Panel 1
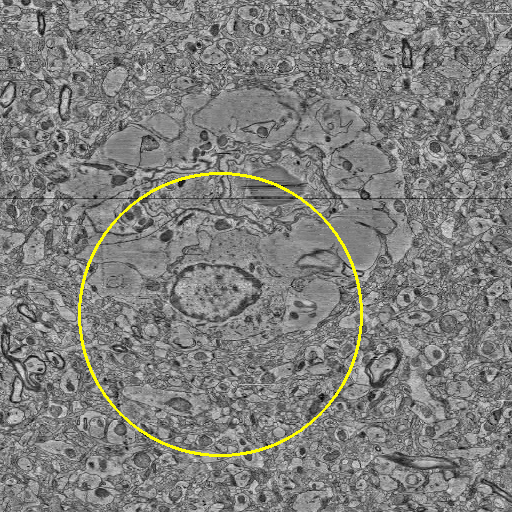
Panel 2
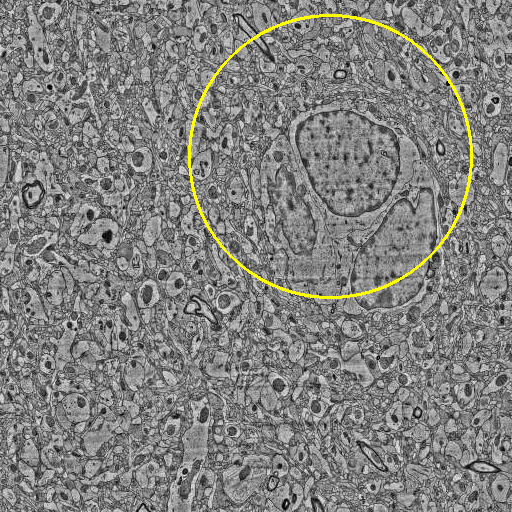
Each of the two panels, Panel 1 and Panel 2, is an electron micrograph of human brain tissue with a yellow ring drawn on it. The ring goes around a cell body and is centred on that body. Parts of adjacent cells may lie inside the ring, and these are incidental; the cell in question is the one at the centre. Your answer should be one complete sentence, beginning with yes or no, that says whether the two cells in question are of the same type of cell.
Yes, the two cells are of the same type.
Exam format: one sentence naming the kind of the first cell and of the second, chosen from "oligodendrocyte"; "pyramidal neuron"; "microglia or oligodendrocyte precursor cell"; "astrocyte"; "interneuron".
The second cell is a microglial cell or oligodendrocyte precursor cell, just as the first is.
